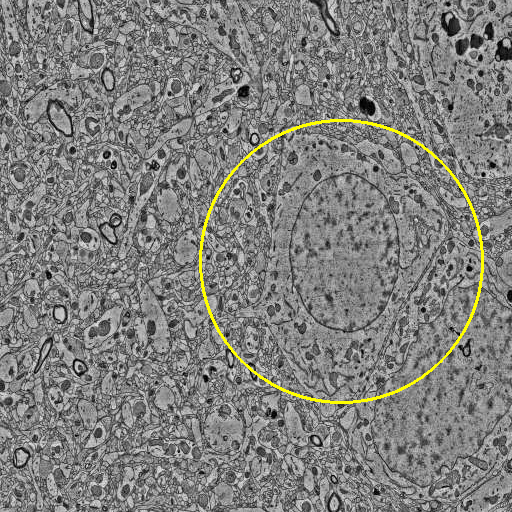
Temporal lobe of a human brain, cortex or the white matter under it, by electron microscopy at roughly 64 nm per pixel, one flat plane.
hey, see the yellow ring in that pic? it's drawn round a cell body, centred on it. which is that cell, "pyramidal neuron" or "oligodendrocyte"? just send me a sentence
The cell in the ring is a pyramidal neuron.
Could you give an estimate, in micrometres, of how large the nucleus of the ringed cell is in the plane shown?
In this plane the nucleus measures roughly 10 by 7 micrometres.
